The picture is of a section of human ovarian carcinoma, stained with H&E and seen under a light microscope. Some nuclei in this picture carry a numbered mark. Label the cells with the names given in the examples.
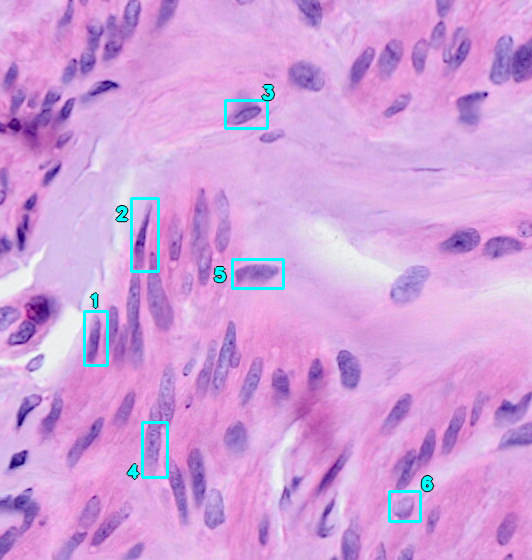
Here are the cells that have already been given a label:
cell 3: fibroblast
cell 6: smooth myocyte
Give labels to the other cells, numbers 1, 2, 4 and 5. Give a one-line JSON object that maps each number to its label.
{"1": "smooth myocyte", "2": "smooth myocyte", "4": "smooth myocyte", "5": "fibroblast"}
